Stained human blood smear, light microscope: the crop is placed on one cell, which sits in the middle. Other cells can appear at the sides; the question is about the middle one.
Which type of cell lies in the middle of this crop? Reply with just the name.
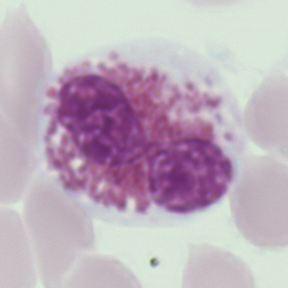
eosinophil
